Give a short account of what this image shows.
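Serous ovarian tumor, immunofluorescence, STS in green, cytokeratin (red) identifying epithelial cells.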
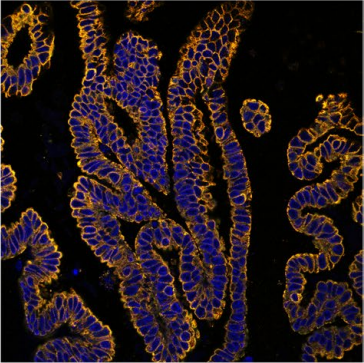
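Overlap of green and red gives a yellow-orange color that outlines each cell, with the strongest rim at the cell borders. Blue nuclei fill the interior of each cell and are crowded along the bands. The dark space between the bands carries little or no signal.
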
